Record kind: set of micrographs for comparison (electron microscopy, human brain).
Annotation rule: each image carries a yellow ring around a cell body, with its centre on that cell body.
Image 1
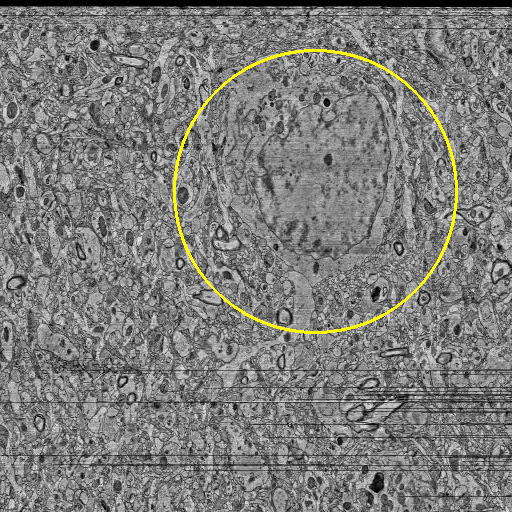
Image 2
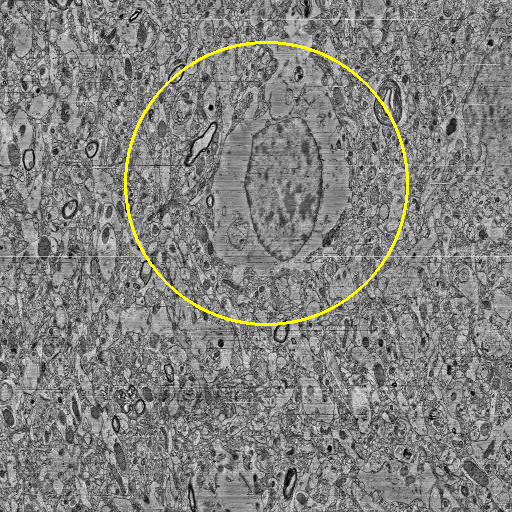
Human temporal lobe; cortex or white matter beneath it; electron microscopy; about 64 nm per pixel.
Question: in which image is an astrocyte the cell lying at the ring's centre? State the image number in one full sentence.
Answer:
In image 2, the ring is centred on the cell in question.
